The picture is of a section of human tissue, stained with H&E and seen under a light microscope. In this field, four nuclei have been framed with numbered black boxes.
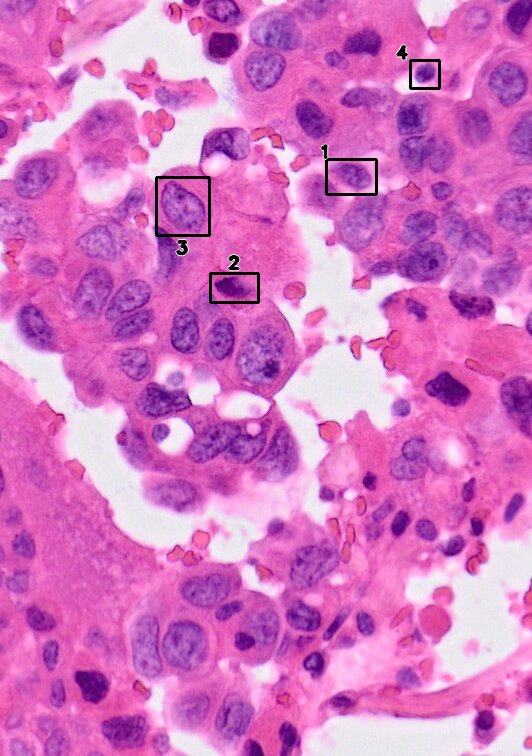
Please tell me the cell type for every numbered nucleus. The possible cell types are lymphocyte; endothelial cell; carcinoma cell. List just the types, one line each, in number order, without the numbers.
carcinoma cell
carcinoma cell
carcinoma cell
lymphocyte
